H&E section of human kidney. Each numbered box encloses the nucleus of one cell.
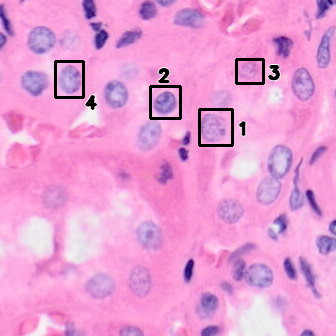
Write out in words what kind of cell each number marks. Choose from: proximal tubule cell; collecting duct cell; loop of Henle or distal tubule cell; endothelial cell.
Cells 1 and 3 are proximal tubule cells. Cell 2 is a collecting duct cell. Cell 4 is a loop of Henle or distal tubule cell.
